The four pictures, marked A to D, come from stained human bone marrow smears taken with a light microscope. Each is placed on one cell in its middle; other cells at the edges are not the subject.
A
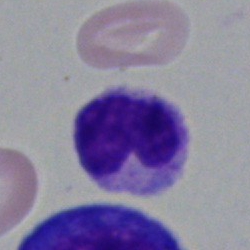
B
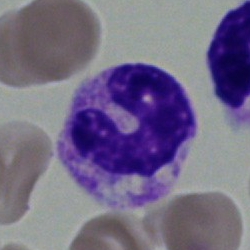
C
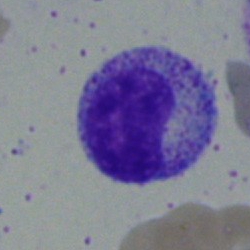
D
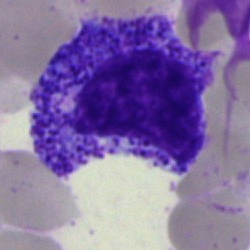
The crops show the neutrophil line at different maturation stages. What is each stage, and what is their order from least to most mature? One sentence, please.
The order from least to most mature is crop D (a promyelocyte), crop C (a myelocyte), crop A (a metamyelocyte) and crop B (a band neutrophil).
